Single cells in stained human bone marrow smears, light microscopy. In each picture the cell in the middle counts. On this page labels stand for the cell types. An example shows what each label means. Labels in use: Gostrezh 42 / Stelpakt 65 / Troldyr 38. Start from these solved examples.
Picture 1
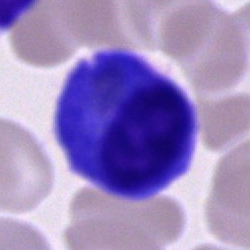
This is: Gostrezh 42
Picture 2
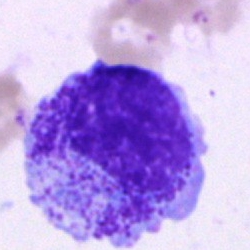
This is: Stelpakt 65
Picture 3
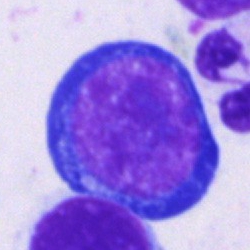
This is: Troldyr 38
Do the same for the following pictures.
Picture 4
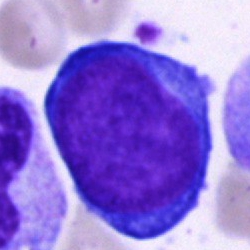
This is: Troldyr 38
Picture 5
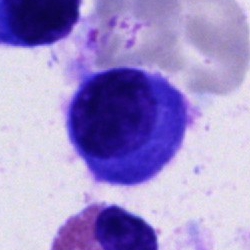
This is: Gostrezh 42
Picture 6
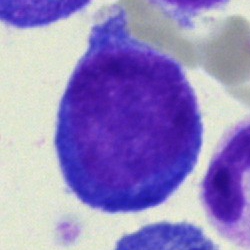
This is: Troldyr 38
